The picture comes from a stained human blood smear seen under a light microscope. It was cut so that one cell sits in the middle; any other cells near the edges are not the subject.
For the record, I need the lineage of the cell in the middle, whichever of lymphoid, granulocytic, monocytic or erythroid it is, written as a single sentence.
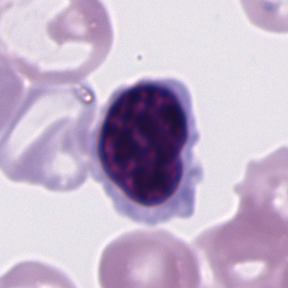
The cell at the center of this crop is categorized as erythroid in lineage.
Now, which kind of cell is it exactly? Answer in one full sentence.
Classification of the middle cell gives a normoblast.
